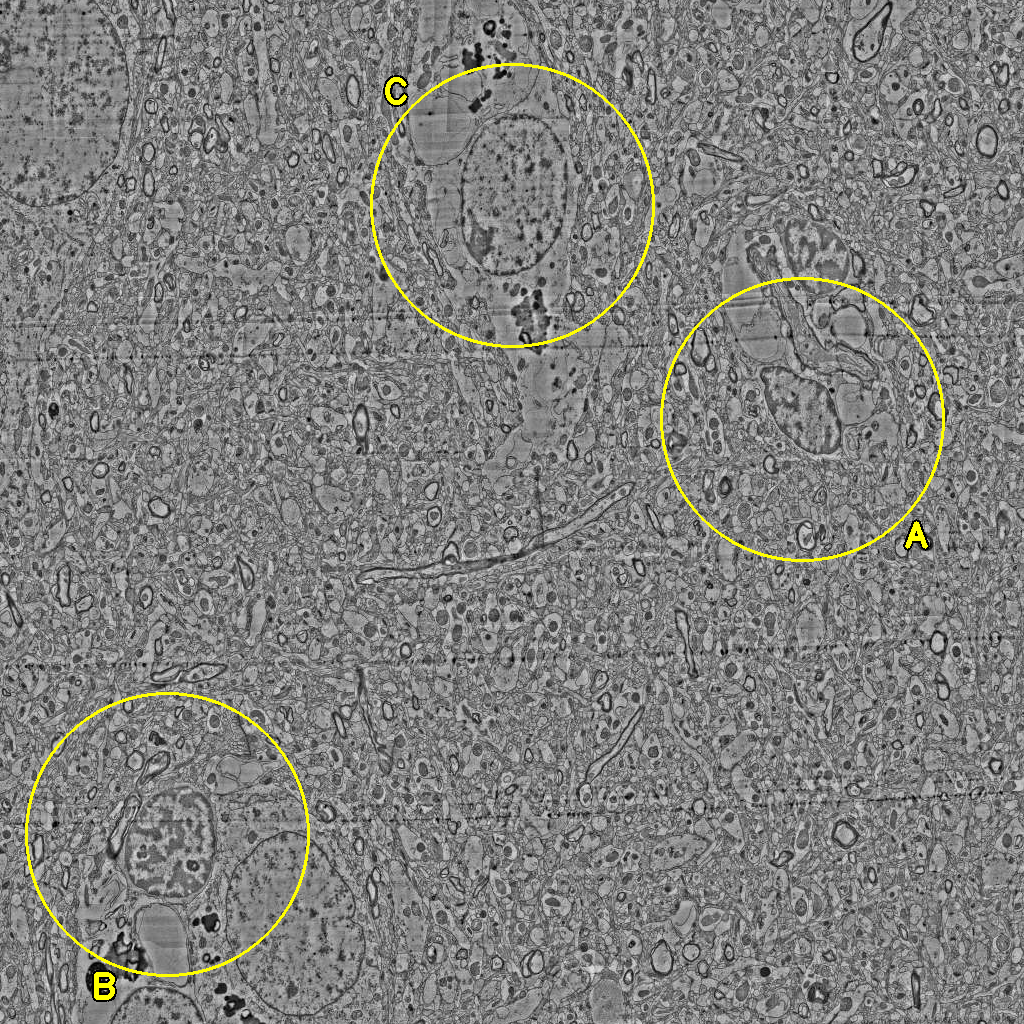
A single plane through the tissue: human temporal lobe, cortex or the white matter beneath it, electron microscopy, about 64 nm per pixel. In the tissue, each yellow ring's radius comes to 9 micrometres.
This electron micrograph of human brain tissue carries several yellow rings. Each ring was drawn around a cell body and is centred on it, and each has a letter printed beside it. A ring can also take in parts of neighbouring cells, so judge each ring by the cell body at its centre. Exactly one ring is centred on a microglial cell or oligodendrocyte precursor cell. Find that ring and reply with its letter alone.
A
